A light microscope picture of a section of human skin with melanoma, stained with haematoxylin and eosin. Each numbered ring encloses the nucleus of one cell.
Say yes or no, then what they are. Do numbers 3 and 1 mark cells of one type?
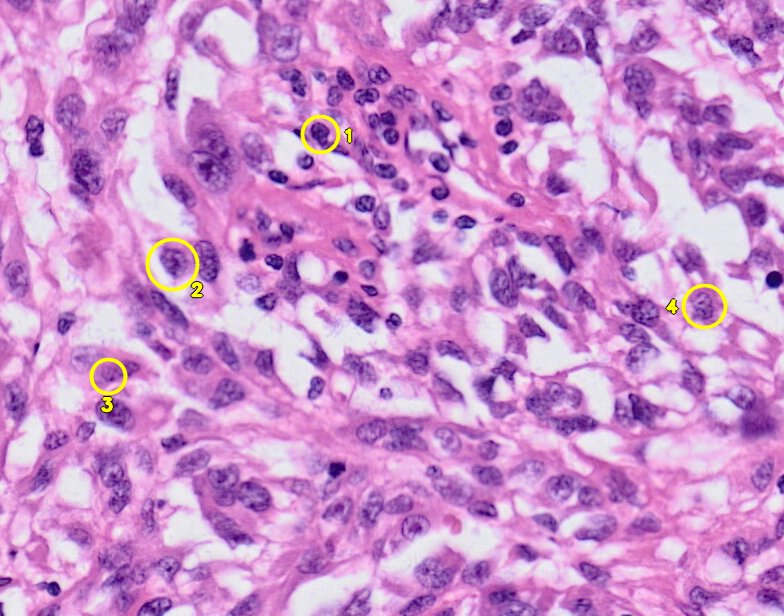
No, cell 3 is a melanoma cell, whereas cell 1, for its part, is a lymphocyte.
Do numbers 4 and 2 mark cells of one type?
Yes, the pair formed by cells 4 and 2 consists of two melanoma cells.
